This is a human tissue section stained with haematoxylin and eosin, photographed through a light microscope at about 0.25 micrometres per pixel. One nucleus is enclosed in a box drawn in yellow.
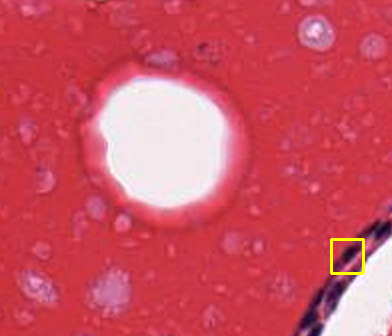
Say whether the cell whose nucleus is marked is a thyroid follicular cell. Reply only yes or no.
yes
